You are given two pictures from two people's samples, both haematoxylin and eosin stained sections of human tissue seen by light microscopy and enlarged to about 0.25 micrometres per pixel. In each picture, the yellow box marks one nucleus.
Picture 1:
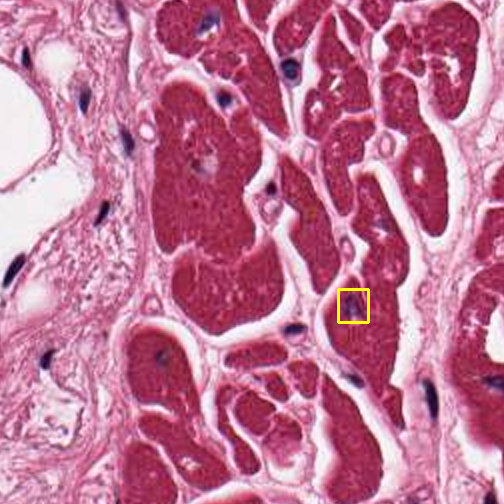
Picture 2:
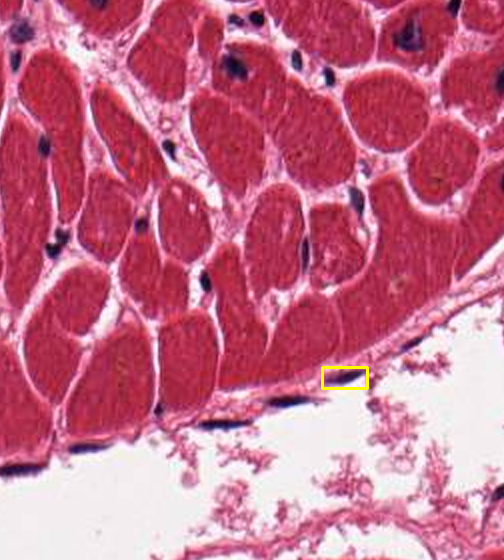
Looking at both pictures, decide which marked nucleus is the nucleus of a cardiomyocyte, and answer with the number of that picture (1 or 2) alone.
1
